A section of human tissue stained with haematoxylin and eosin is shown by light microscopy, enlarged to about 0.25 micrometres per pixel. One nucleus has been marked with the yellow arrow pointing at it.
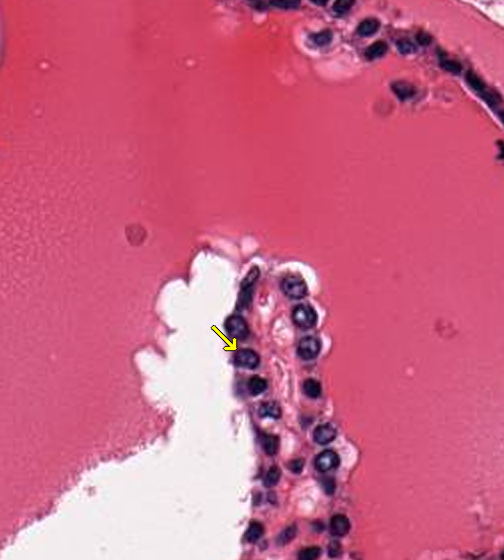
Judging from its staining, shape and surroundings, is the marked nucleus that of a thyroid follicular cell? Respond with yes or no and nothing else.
yes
